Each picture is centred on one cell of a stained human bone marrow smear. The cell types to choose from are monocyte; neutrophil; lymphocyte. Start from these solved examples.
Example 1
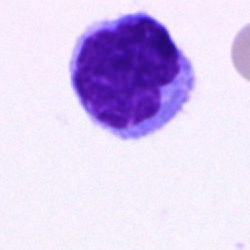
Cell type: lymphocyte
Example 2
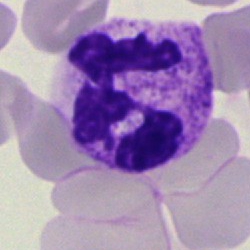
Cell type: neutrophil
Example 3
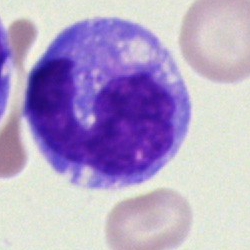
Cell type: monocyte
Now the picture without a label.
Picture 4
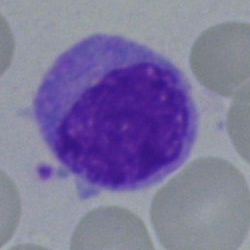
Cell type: monocyte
